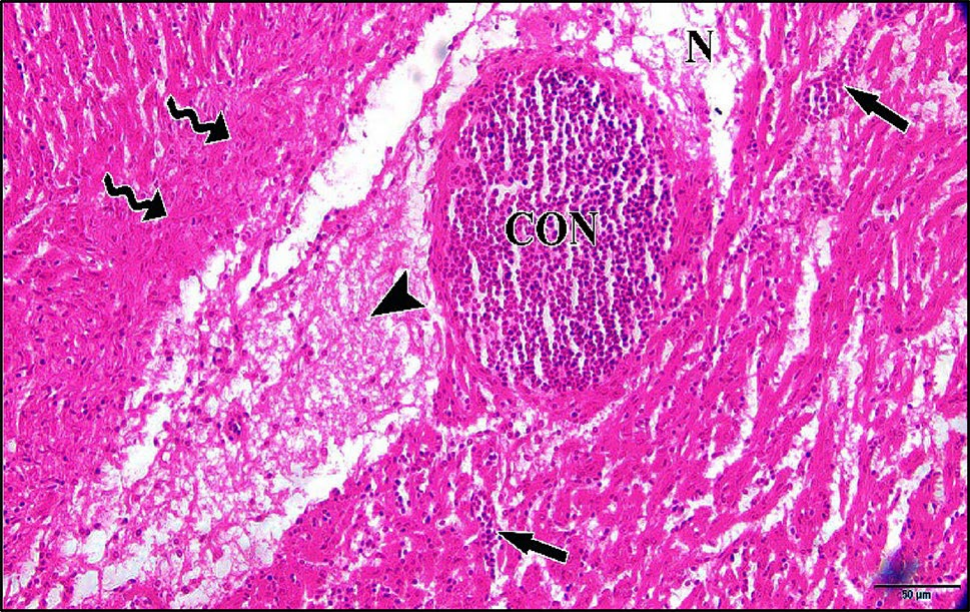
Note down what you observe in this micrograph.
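This is a longitudinal section of cardiac muscle, with pink eosinophilic fibres and purple nuclei. In the centre lies a large oval blood vessel with a thin pink wall, its lumen crowded with densely packed blood cells, showing congestion. Beside it, a broad pale zone of loose, wispy pink material with clear spaces separates the fibres, indicating edema. Small clusters of round, dark nuclei of inflammatory cells lie scattered between the muscle fibres.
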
